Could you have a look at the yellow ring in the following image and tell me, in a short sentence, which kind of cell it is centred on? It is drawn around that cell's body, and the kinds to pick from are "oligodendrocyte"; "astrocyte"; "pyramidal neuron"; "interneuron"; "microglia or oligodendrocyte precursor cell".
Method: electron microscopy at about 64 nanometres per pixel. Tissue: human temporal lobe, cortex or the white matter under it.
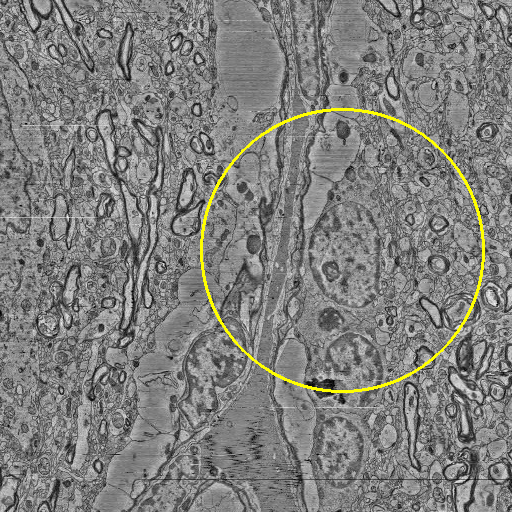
The ring is centred on the body of an oligodendrocyte.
